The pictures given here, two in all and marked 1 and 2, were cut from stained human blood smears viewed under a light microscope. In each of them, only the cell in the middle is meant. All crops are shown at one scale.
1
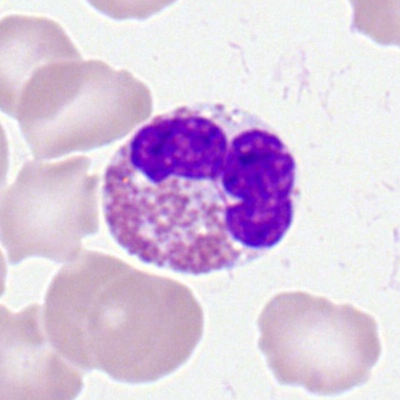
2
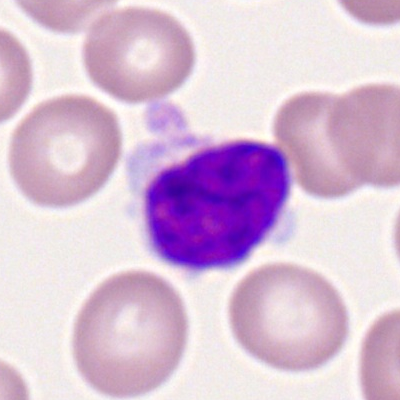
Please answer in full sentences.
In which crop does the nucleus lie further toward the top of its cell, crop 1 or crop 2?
Seen within its cell, the nucleus in crop 1 lies further toward the top.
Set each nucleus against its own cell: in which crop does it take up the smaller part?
In crop 1 the nucleus takes up the smaller part of its cell.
